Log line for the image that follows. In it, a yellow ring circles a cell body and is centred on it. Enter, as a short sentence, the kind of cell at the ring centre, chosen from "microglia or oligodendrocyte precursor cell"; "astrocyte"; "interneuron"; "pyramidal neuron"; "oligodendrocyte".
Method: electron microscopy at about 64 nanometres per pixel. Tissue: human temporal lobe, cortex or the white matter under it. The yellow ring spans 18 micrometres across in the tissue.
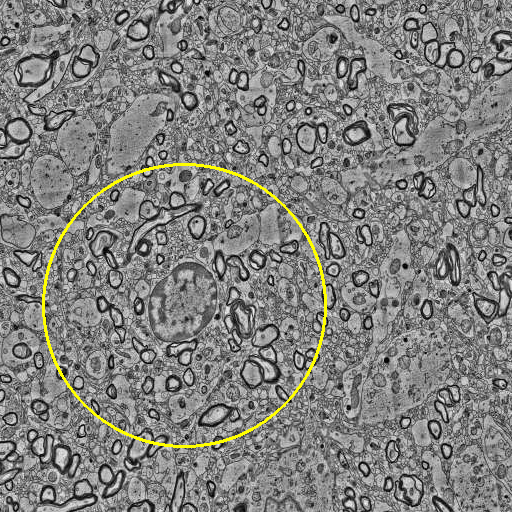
The ring centre is occupied by a microglial cell or oligodendrocyte precursor cell.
